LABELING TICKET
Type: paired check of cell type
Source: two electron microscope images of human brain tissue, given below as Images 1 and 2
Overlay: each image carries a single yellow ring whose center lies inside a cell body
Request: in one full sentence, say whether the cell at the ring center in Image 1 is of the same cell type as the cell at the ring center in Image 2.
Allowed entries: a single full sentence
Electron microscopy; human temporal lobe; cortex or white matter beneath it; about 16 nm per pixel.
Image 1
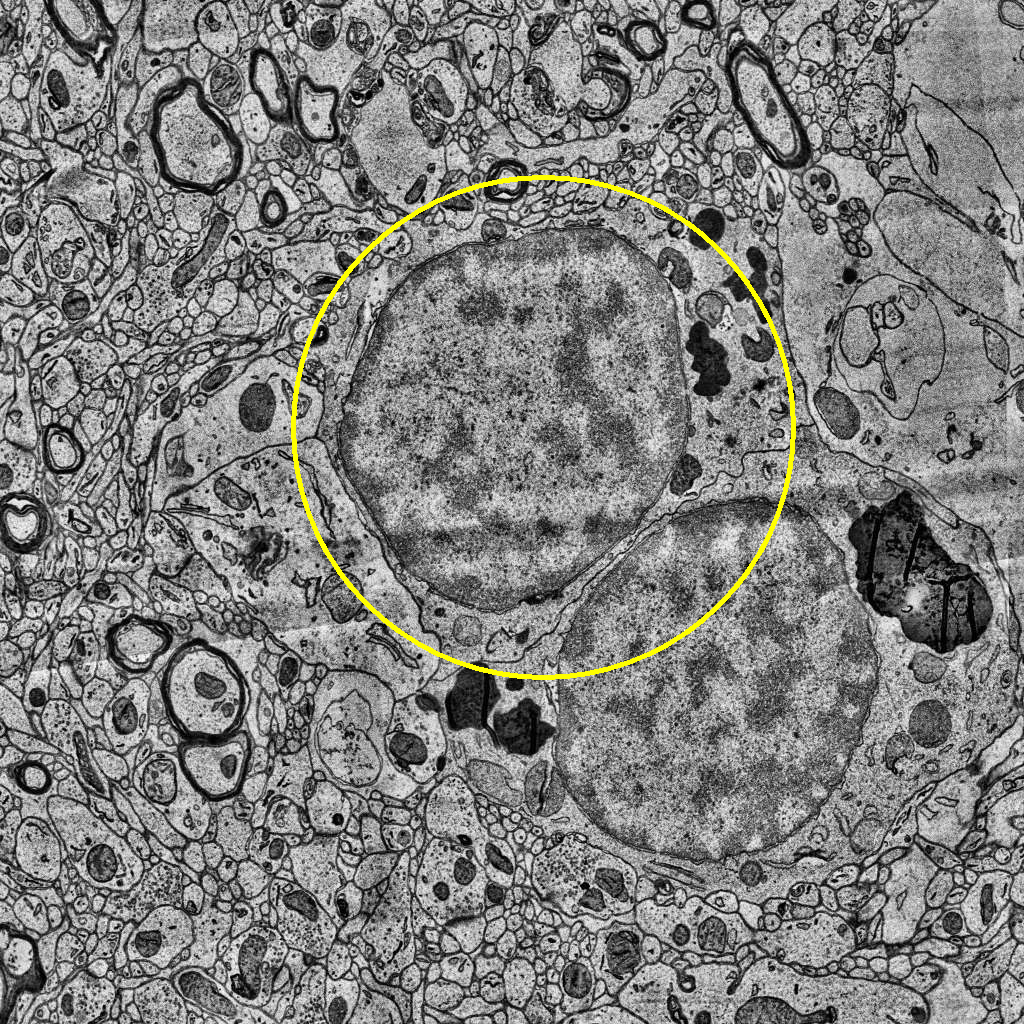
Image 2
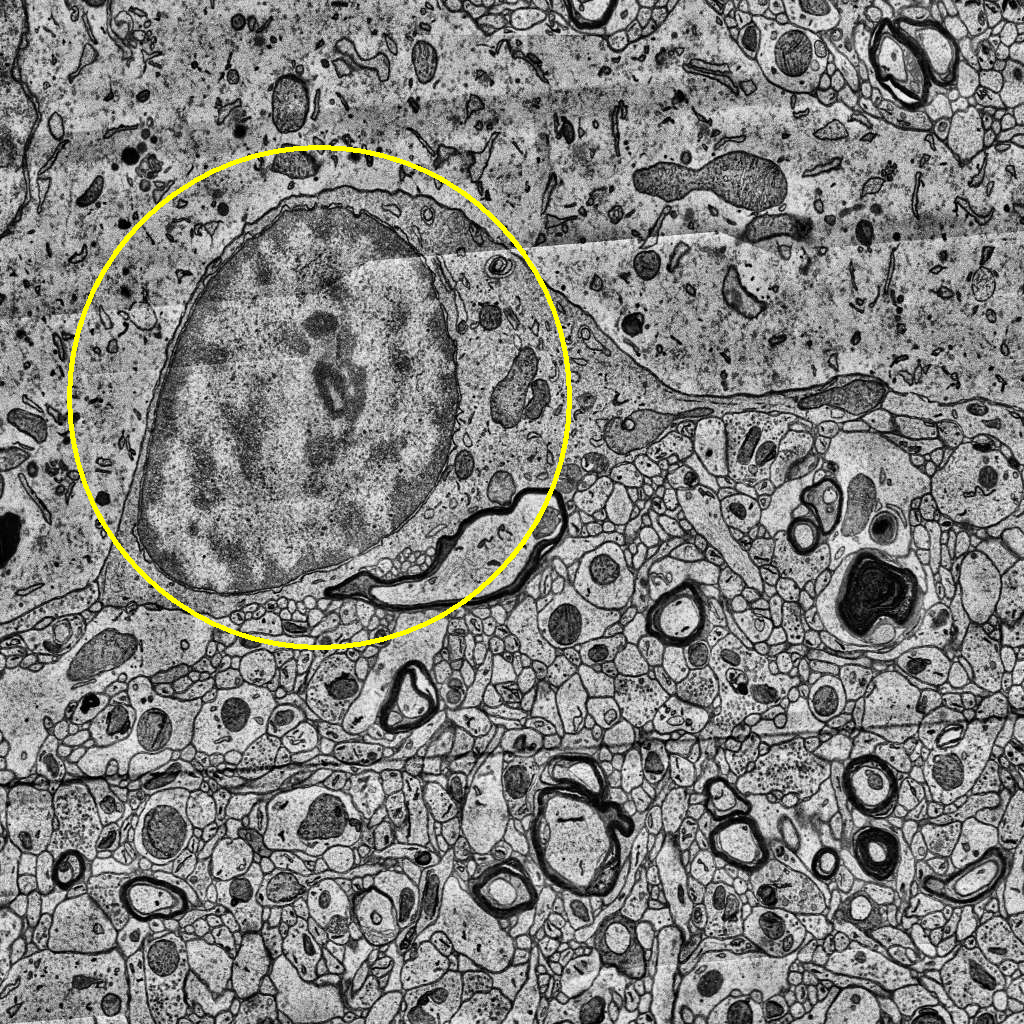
Yes, the cells at the ring centers of Image 1 and Image 2 share one type.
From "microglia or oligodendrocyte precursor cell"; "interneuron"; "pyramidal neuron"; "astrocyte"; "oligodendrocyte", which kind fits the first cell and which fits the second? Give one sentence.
The ring centre holds an oligodendrocyte in each of the two pictures.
